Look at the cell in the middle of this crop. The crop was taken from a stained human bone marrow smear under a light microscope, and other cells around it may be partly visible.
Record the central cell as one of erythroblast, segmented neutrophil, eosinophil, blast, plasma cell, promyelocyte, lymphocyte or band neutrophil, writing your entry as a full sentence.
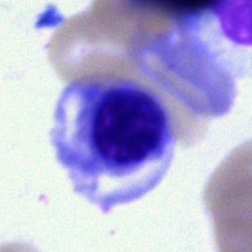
The cell occupying the middle of the crop is an erythroblast.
